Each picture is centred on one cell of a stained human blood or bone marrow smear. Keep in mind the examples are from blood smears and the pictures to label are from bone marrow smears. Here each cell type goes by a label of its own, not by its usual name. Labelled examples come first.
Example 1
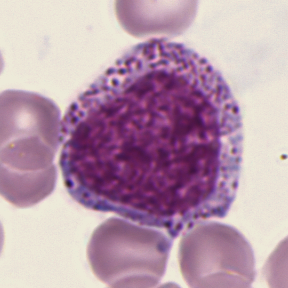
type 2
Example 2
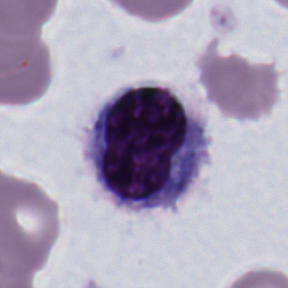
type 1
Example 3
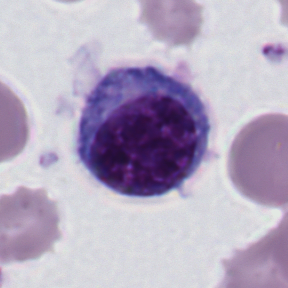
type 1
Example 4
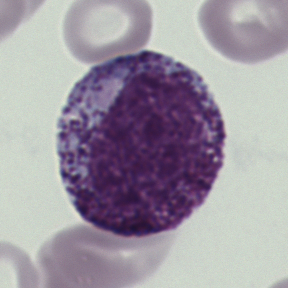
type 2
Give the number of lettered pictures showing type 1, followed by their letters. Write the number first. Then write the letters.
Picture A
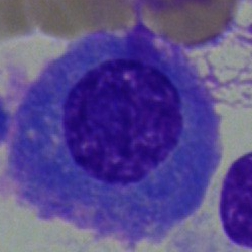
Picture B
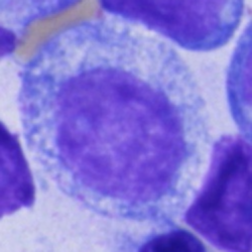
1: A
